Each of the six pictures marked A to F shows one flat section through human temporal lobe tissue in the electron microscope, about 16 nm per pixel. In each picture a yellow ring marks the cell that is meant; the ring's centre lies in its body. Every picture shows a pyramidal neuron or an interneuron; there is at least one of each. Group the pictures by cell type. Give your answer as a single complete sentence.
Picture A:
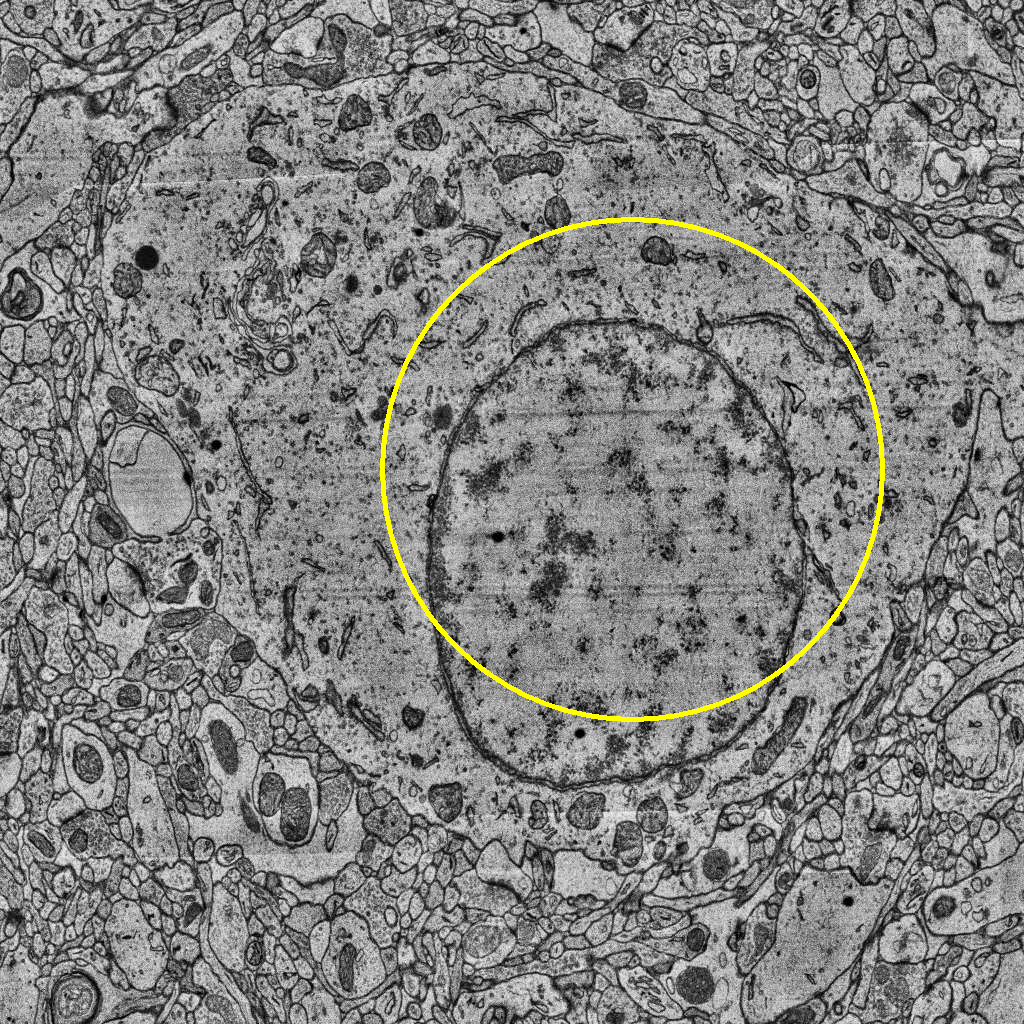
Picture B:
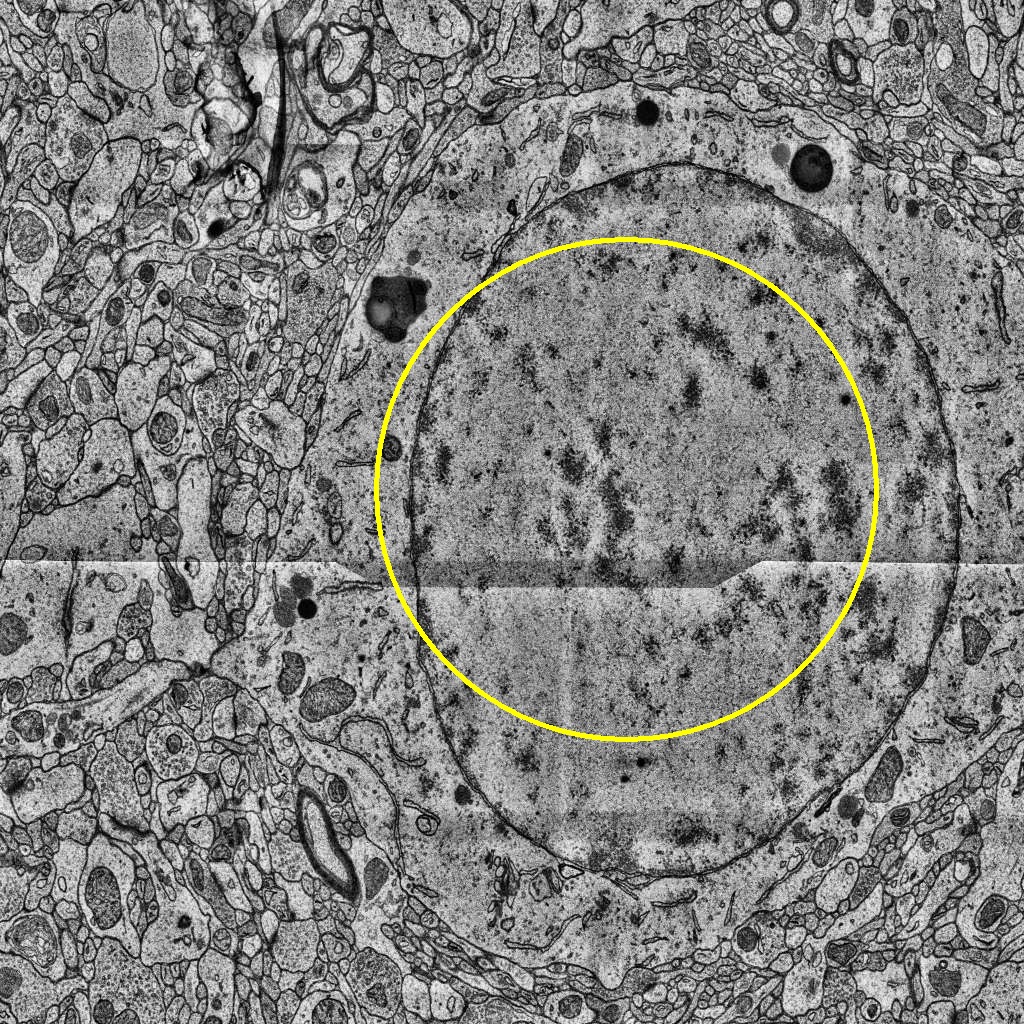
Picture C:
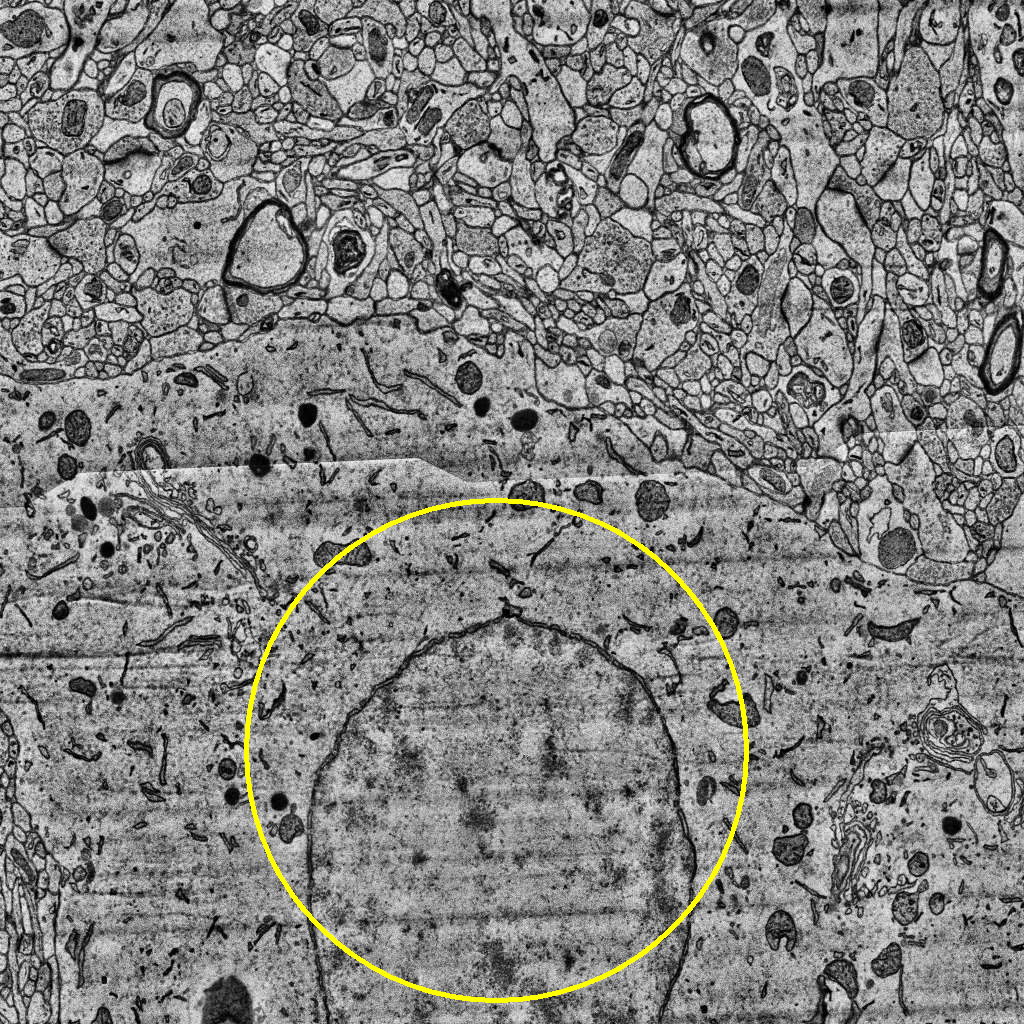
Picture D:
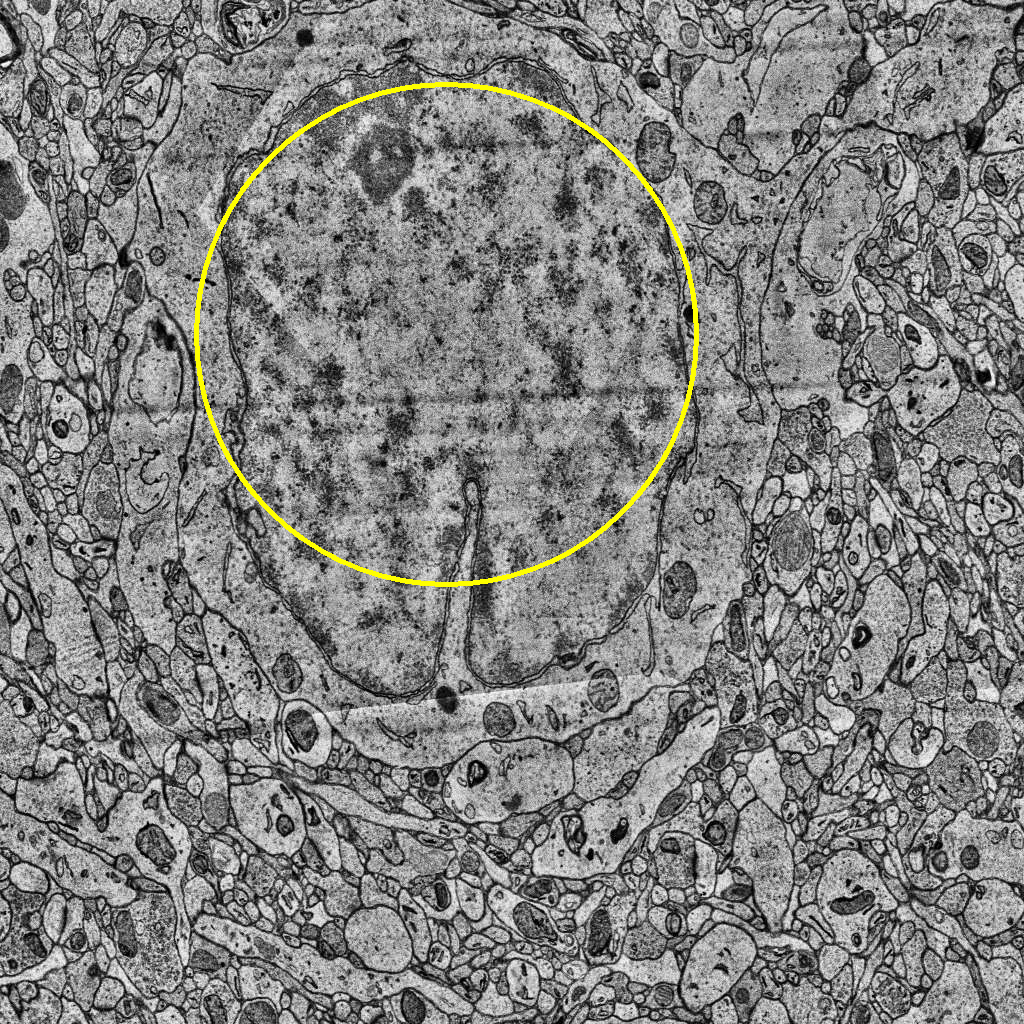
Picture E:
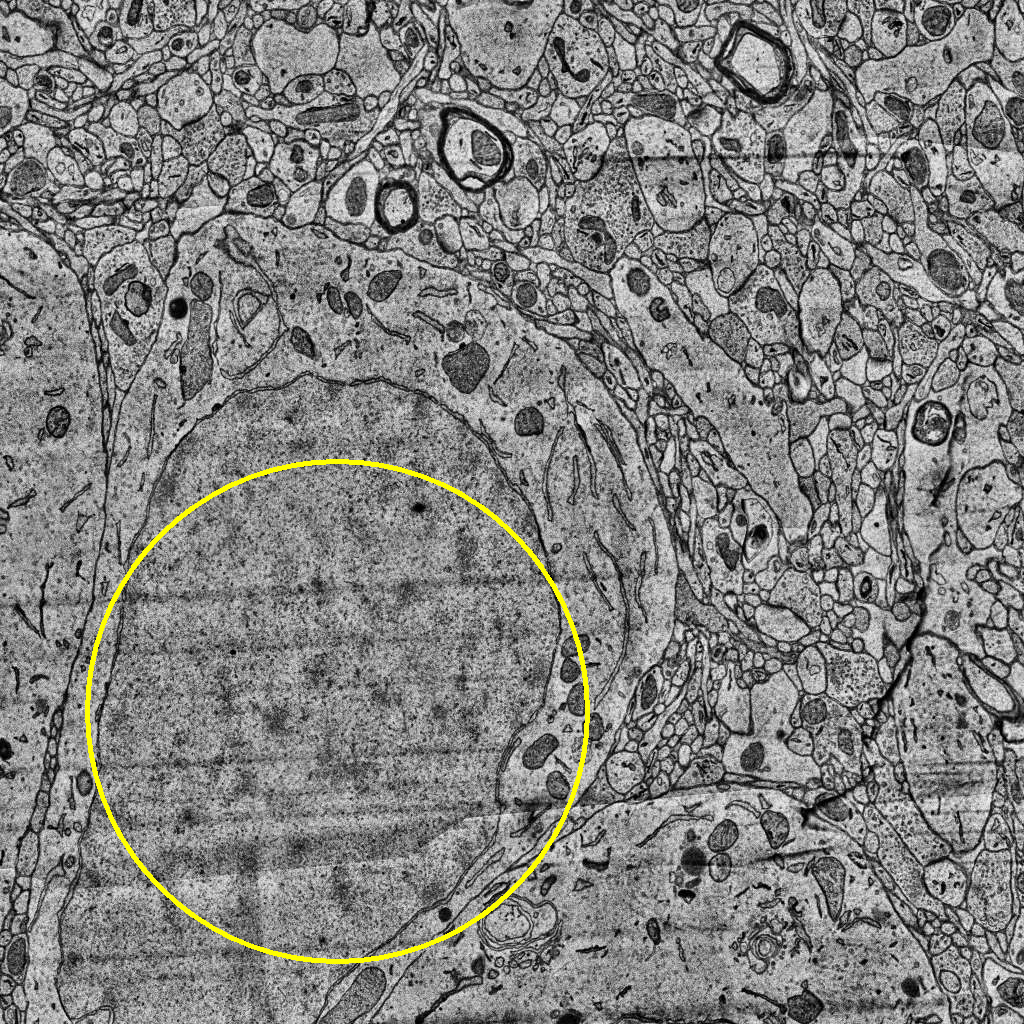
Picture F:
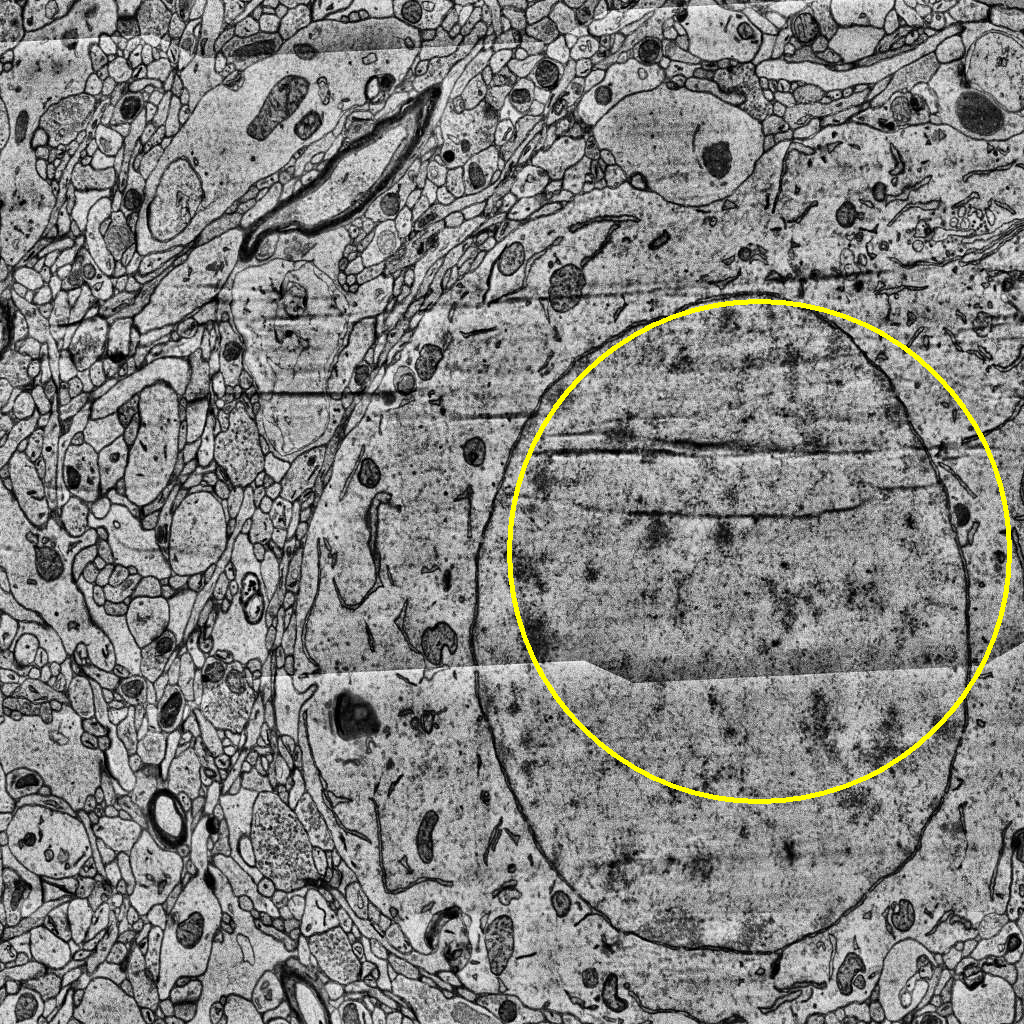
Pictures A, B, C and F show pyramidal neurons, while pictures D and E show interneurons.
